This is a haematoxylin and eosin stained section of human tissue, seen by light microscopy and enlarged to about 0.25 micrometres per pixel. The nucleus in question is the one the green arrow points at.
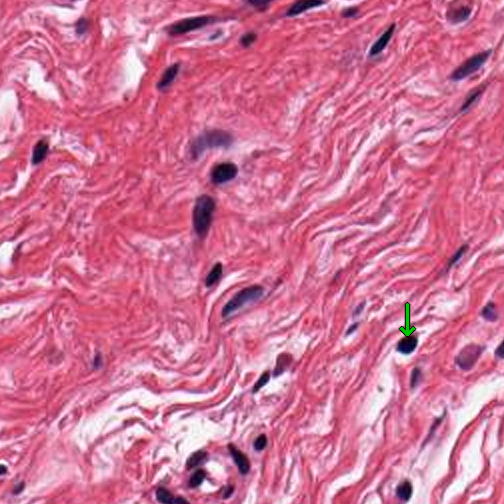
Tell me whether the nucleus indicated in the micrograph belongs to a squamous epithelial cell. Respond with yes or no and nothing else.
no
